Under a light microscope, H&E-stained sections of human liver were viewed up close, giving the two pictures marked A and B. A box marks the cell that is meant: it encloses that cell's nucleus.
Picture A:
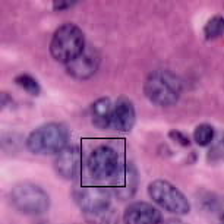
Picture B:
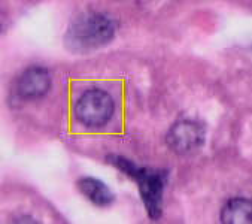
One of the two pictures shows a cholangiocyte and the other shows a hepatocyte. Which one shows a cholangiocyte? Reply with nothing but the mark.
A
